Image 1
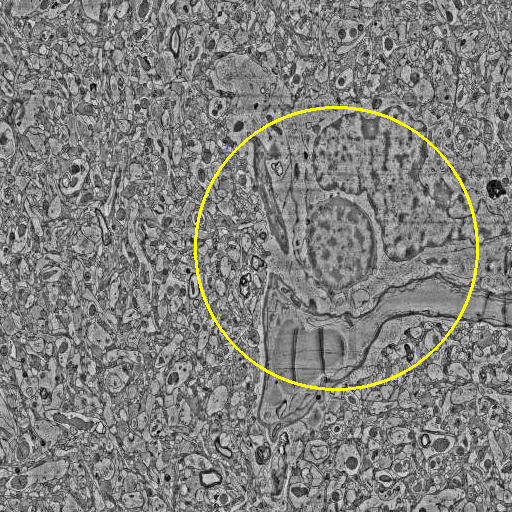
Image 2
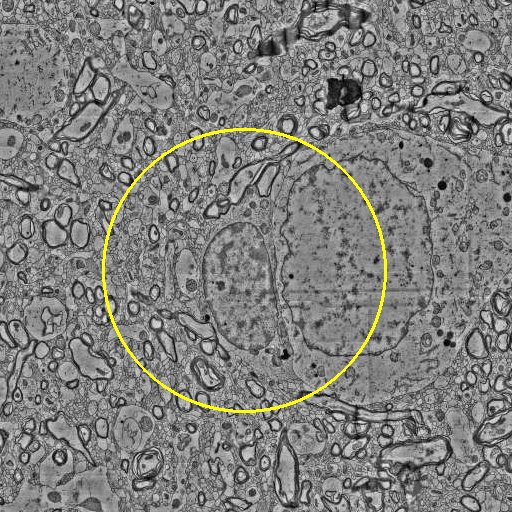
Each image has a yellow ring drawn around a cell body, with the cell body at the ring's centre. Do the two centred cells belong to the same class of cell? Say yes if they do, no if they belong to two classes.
yes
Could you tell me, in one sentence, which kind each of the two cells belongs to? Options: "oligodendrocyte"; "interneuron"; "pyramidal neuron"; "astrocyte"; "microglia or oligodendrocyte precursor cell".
The cell at the ring centre is an oligodendrocyte in both pictures.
